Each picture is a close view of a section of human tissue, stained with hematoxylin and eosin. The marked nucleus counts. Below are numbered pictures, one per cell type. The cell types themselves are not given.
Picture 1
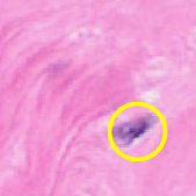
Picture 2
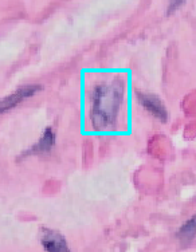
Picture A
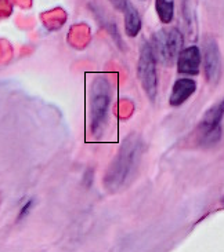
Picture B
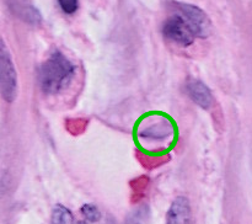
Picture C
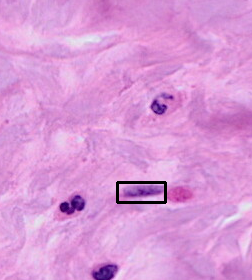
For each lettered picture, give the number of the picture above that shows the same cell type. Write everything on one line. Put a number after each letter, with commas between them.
A 2, B 2, C 1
